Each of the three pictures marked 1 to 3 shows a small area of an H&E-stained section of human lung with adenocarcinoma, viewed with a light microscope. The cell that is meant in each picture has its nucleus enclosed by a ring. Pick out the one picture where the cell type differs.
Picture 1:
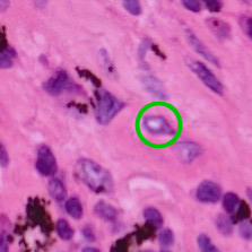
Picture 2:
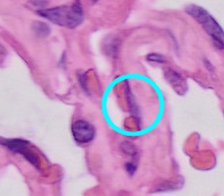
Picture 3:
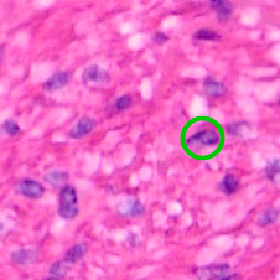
3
